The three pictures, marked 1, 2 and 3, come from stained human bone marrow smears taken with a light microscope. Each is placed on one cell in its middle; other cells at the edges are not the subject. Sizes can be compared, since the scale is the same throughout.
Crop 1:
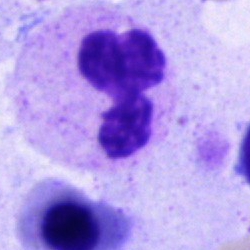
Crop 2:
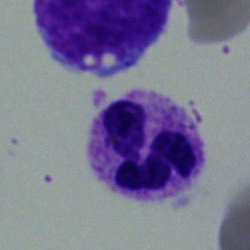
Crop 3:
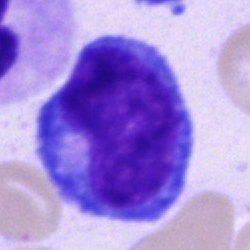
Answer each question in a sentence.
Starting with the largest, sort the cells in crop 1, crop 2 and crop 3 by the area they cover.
The order is 3, 1, 2, beginning with the largest.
